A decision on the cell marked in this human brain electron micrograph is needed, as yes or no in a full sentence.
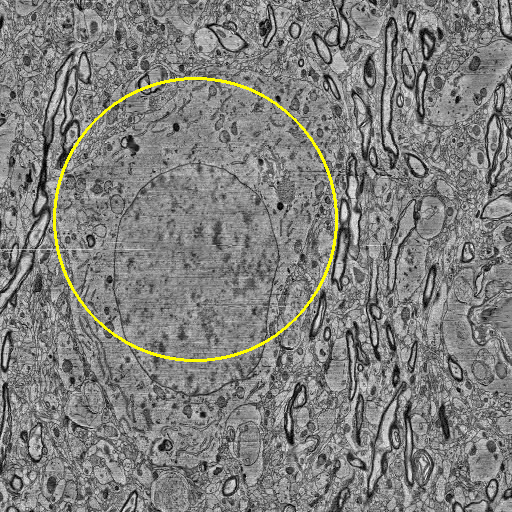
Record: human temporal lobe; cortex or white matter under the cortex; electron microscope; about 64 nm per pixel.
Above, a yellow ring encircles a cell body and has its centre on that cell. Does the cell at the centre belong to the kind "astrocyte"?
No, a different kind fits the cell at the centre of the ring in the picture.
